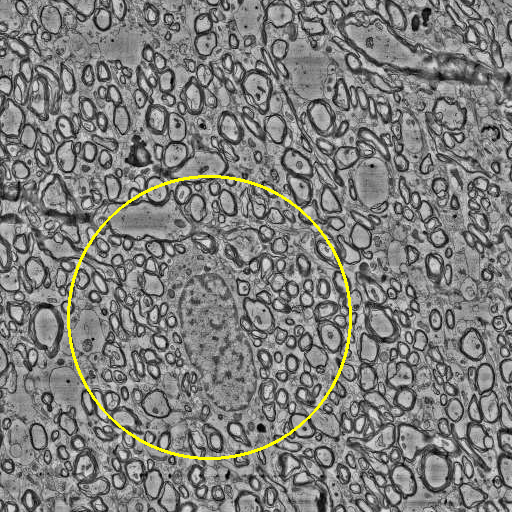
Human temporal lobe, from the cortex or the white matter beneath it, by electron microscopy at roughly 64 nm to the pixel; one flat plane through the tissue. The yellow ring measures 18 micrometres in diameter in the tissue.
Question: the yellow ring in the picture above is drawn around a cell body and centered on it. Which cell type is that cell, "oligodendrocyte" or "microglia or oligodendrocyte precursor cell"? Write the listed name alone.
oligodendrocyte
